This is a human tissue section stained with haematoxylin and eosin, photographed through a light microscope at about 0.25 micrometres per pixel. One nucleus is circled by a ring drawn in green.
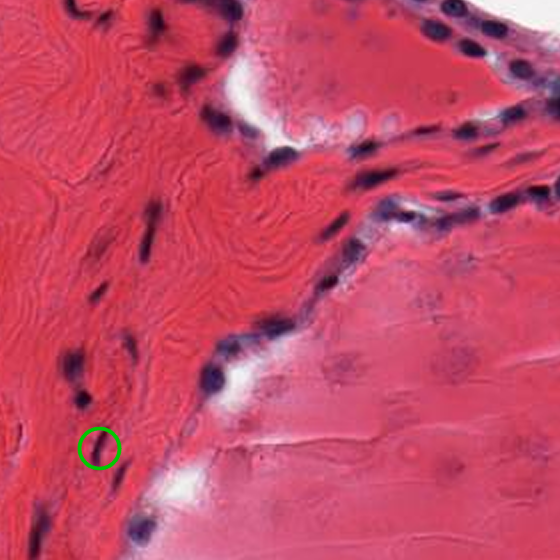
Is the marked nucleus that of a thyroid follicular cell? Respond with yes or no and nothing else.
no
